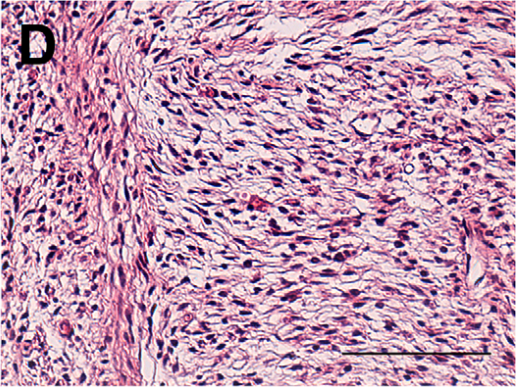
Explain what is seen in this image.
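This is a neurofibroma seen at higher power, stained pink and purple. The tumour is made of many spindle-shaped cells with dark purple, elongated and often wavy nuclei. These cells lie loosely in a pale pink, somewhat fibrillary background, so there is much space between them. Along the left edge the cells are packed more densely and lie in parallel, forming a band. A few small blood vessels with red cells can be spotted within the tissue.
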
